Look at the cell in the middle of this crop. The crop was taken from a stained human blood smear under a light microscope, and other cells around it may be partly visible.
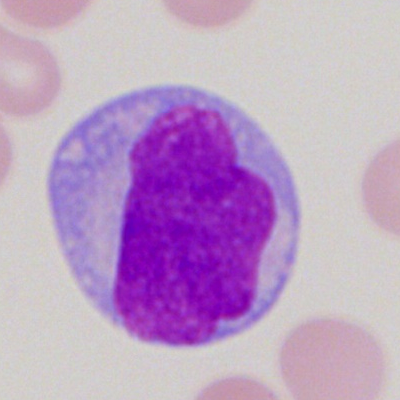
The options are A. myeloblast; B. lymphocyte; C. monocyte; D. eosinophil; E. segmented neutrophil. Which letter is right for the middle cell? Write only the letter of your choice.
C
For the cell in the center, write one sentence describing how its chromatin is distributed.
In this cell the chromatin is fine rather than coarsely clumped.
